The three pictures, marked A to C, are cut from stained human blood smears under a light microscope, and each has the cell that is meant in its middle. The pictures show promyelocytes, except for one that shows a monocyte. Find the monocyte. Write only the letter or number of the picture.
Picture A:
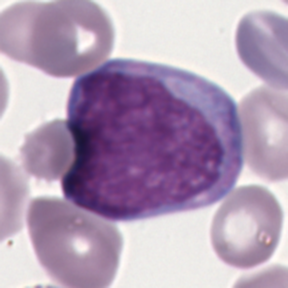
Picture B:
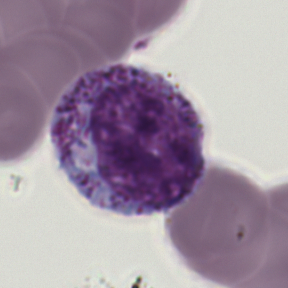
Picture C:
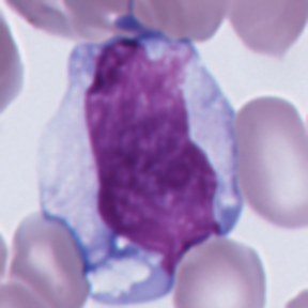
C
